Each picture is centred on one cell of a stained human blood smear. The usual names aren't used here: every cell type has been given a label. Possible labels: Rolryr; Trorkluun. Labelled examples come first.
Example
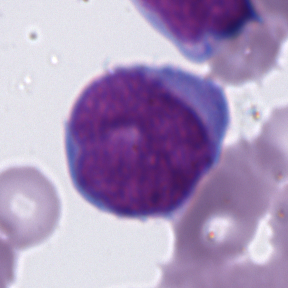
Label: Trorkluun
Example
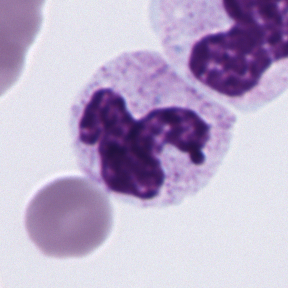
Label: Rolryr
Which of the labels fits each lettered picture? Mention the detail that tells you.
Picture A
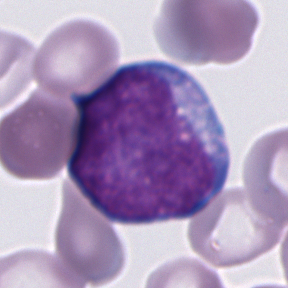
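Trorkluun: The cytoplasm is scant and stains blue.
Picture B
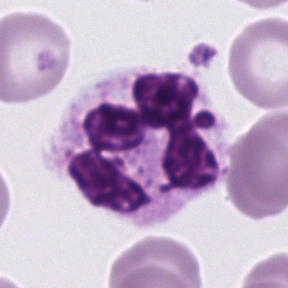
Rolryr: The nucleus is divided into four large lobes.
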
